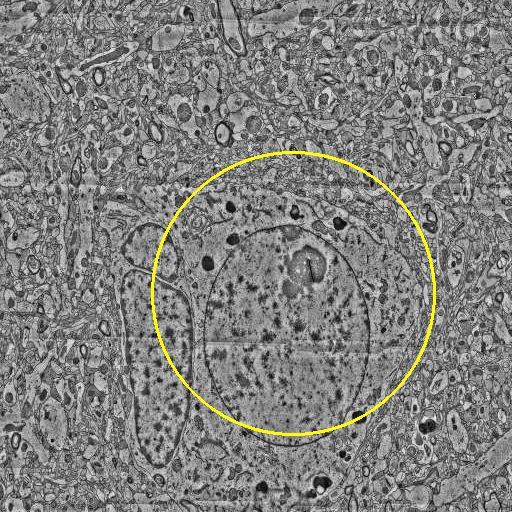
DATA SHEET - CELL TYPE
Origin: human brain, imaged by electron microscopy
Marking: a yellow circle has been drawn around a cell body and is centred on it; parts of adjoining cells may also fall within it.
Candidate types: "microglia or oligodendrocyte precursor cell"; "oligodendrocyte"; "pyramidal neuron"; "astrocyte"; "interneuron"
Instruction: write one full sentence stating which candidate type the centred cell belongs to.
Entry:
The cell body at the centre of the yellow ring in this micrograph belongs to a pyramidal neuron.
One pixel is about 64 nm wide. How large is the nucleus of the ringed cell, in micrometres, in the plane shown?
Roughly 14 by 11 micrometres is the size of the nucleus in this plane.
